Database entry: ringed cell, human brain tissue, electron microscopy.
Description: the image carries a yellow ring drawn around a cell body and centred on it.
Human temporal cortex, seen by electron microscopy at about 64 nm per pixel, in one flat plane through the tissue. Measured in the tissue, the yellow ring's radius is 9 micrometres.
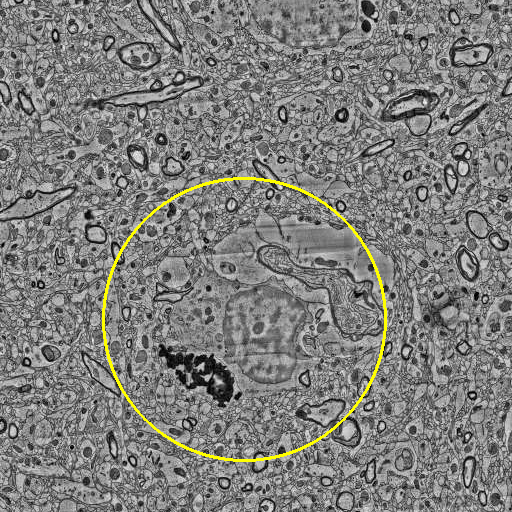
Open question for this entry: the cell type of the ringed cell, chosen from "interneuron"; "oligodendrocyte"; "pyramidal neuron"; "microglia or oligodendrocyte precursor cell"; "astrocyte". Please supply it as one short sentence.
The ringed cell is an oligodendrocyte.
